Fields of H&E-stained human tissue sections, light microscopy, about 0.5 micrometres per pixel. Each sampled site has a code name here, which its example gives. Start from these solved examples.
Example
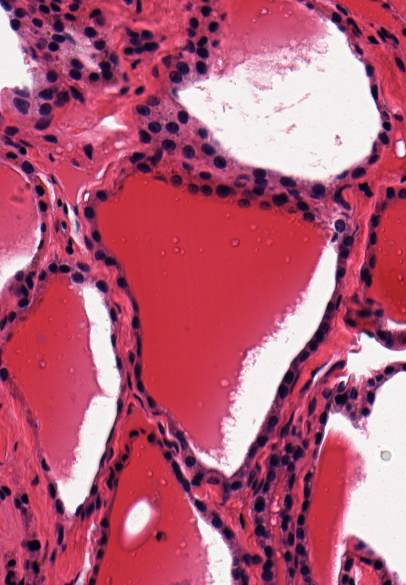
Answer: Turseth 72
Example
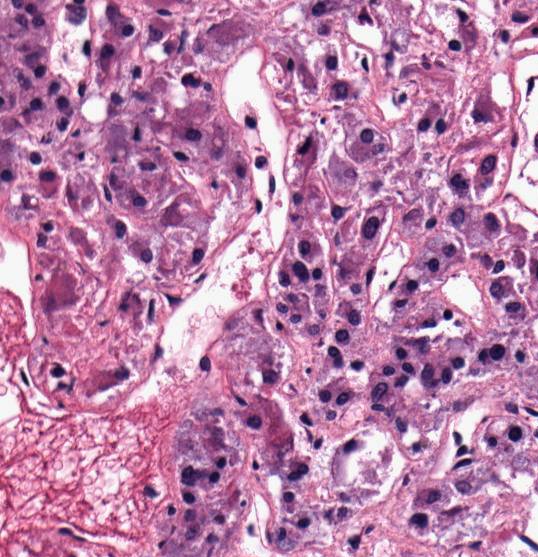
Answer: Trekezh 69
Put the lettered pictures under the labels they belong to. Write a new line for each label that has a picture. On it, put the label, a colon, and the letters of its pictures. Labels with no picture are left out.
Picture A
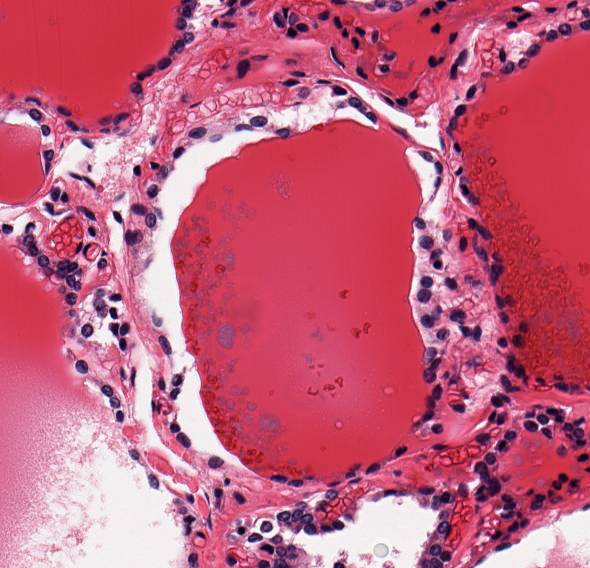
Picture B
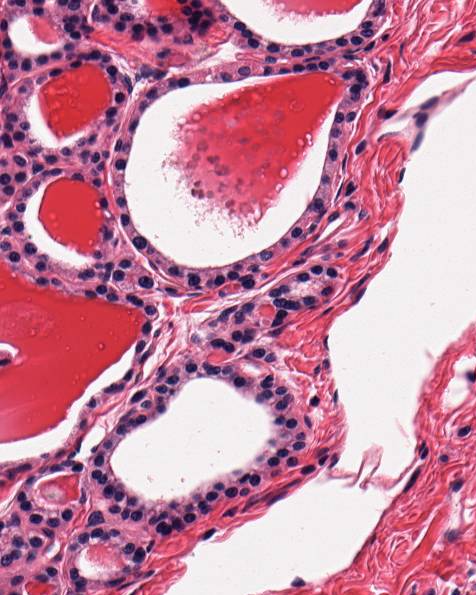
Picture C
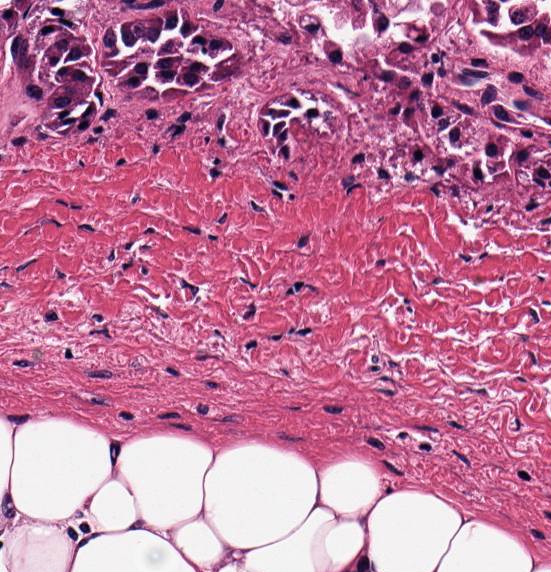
Turseth 72: A, B
Trekezh 69: C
